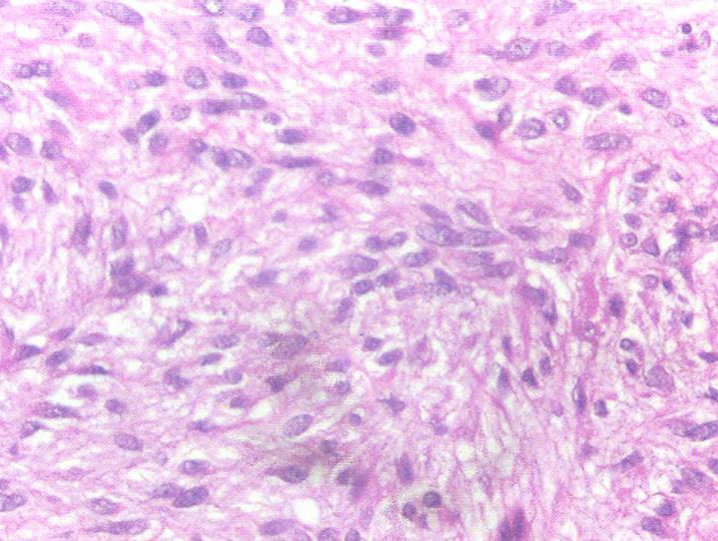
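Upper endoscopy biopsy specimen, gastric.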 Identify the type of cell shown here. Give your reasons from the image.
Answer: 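Spindle cells. Most cells are elongated and tapered at both ends. The nuclei are oval to elongated and stain purple. The cytoplasm is pale pink and ill-defined. The cells lie in interlacing bundles and whorls.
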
